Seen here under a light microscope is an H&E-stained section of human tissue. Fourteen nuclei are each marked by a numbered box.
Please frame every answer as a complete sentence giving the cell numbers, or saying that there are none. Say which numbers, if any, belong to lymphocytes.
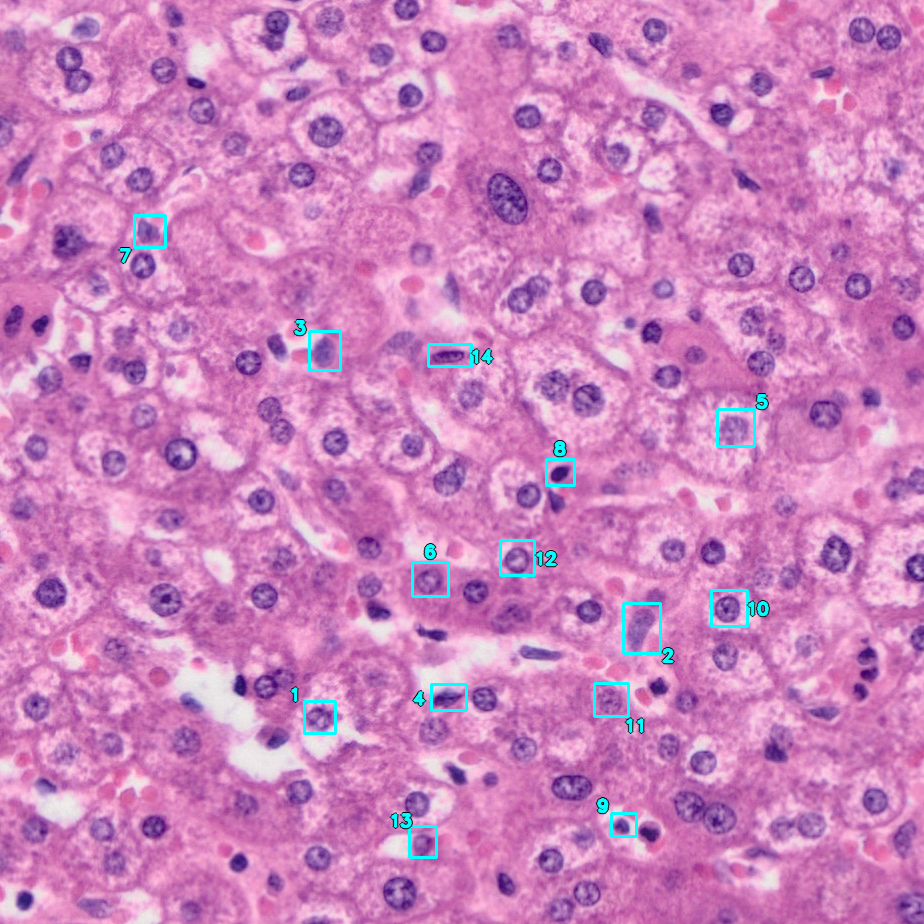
The cells 8 and 9 in this section are lymphocytes.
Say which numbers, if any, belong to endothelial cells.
The cells carrying labels 3, 4 and 7 are endothelial cells.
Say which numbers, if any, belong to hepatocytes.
So, the cells with numbers 1, 5, 6, 10, 11 and 12 are hepatocytes.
